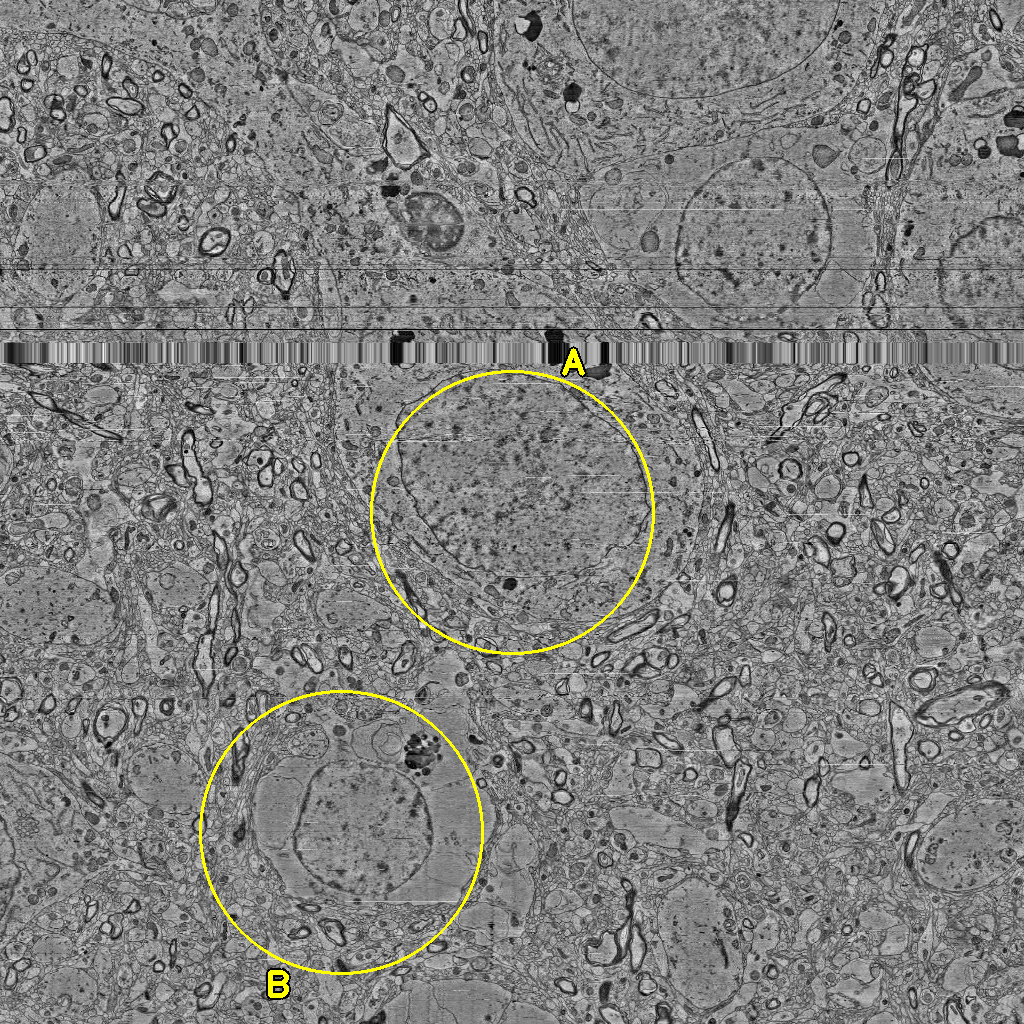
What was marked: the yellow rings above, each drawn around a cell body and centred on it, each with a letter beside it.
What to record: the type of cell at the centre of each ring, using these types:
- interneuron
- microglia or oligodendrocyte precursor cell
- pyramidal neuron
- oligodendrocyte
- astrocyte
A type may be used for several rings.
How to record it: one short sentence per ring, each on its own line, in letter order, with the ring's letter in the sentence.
Centred in ring A is a pyramidal neuron.
Centred in ring B is an astrocyte.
